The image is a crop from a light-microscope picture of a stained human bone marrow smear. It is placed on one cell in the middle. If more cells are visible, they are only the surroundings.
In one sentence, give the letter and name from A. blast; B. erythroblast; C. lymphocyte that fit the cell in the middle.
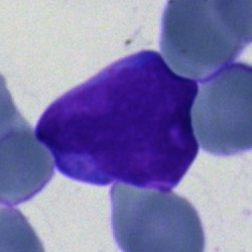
Option A is correct, and the cell in the centre is a blast.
